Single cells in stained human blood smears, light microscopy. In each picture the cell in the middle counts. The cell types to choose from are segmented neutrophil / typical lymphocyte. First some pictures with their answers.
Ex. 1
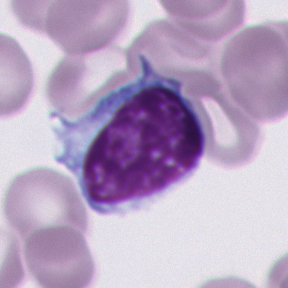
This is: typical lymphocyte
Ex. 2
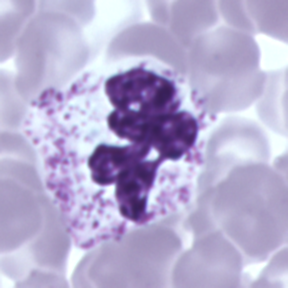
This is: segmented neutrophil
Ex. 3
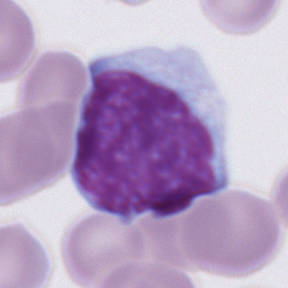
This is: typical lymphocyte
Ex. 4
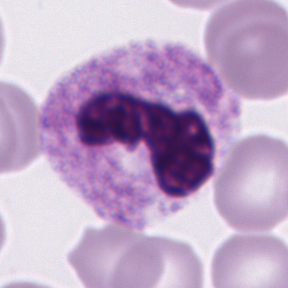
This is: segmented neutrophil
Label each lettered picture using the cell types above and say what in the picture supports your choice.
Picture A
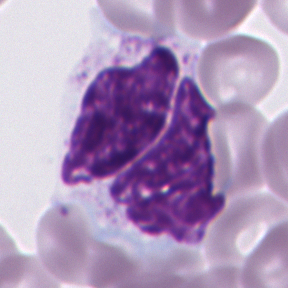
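Answer: segmented neutrophil. The nucleus is split into two large lobes by a narrow pale cleft running diagonally.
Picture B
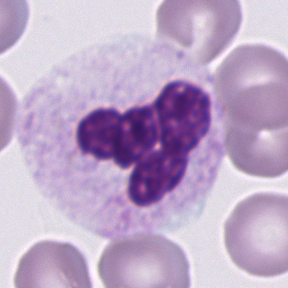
Answer: segmented neutrophil. The cytoplasm is abundant and pale pinkish-lilac.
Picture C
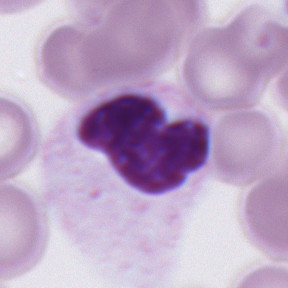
Answer: segmented neutrophil. The cytoplasm is abundant and very pale, with only a faint pinkish tint.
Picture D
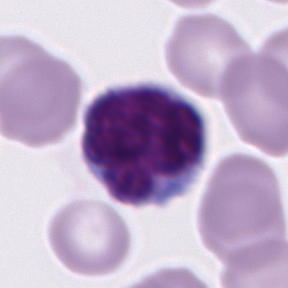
Answer: typical lymphocyte. The cytoplasm shows mainly as a narrow crescent along the lower edge of the cell.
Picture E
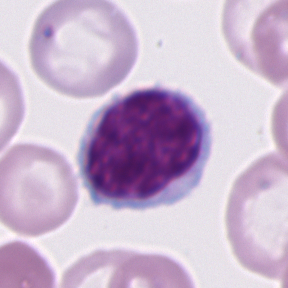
Answer: typical lymphocyte. The cytoplasm forms only a thin rim around the nucleus.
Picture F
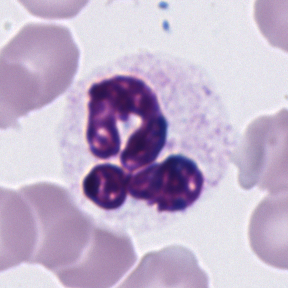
Answer: segmented neutrophil. The cytoplasm is plentiful and pale pink.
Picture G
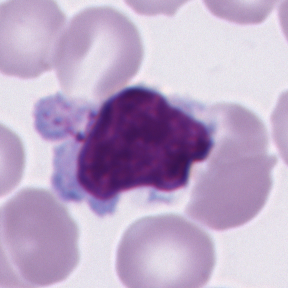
Answer: typical lymphocyte. The cytoplasm is scant compared with the size of the nucleus.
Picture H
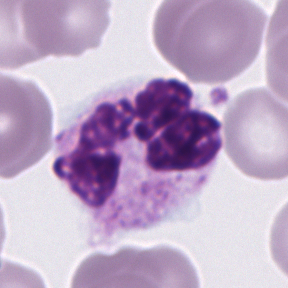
Answer: segmented neutrophil. The nucleus is divided into several separate lobes.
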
